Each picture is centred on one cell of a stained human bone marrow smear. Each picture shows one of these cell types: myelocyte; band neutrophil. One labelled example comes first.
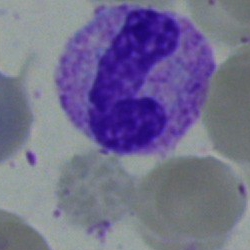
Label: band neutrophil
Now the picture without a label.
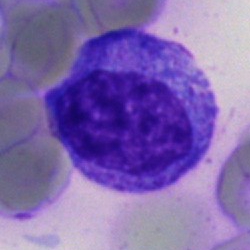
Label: myelocyte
